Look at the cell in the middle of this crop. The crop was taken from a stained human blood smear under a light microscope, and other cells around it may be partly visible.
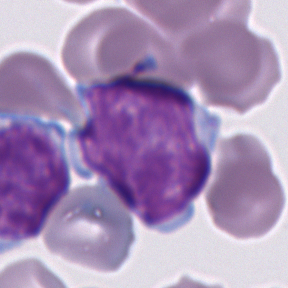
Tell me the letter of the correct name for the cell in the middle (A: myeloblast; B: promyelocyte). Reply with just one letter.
A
